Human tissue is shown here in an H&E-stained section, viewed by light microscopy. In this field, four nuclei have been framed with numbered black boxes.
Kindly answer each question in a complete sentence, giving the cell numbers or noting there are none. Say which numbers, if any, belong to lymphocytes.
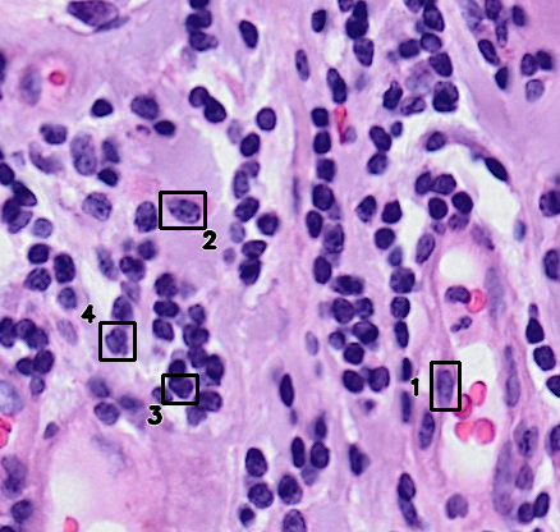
In terms of cell type, cells 3 and 4 are lymphocytes.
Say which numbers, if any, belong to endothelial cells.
Among the numbered cells, an endothelial cell occurs only once, as cell 1.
